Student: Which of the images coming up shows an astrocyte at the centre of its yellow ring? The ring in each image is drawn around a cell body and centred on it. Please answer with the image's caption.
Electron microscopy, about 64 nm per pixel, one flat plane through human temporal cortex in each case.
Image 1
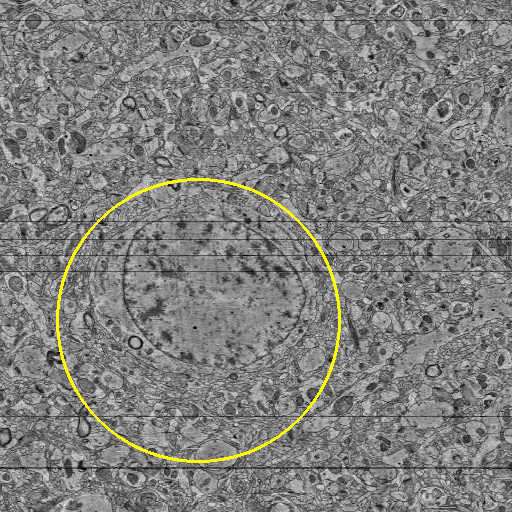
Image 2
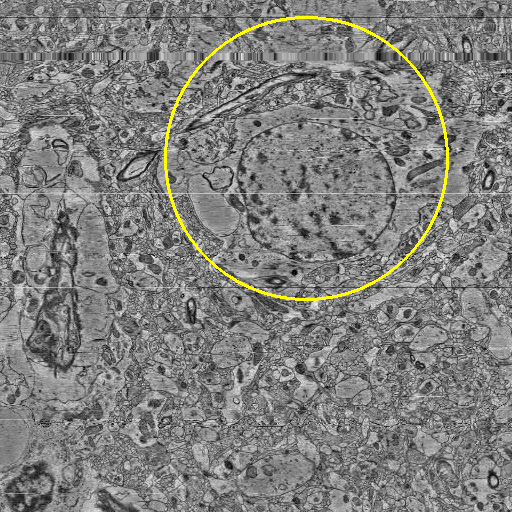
Image 2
